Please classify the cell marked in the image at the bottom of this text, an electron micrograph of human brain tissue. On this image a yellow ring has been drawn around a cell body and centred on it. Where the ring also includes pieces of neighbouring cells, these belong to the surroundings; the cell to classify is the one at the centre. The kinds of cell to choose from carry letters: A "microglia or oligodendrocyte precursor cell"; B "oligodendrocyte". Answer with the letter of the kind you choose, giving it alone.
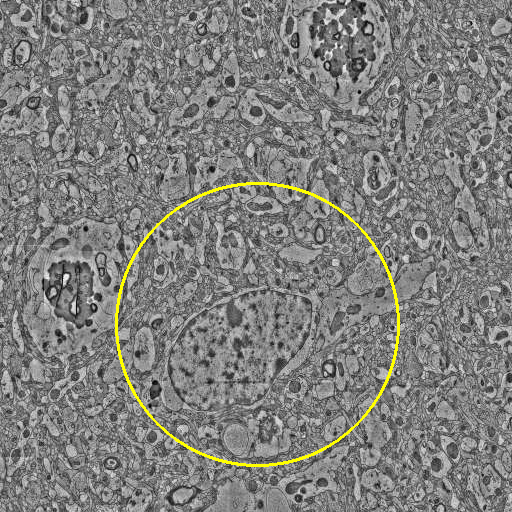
A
